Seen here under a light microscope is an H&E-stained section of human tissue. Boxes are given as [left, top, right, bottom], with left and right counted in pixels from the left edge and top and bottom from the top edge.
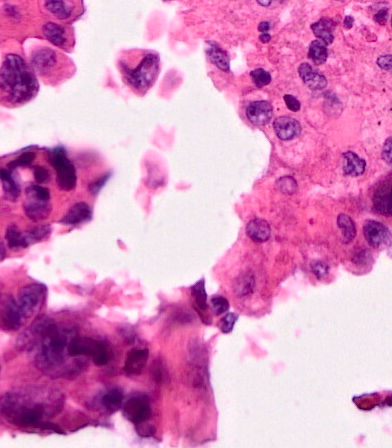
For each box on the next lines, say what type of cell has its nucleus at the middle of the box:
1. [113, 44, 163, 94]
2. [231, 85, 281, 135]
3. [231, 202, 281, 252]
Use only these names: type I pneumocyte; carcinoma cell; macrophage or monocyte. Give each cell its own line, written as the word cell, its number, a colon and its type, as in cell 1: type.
cell 1: carcinoma cell
cell 2: macrophage or monocyte
cell 3: macrophage or monocyte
